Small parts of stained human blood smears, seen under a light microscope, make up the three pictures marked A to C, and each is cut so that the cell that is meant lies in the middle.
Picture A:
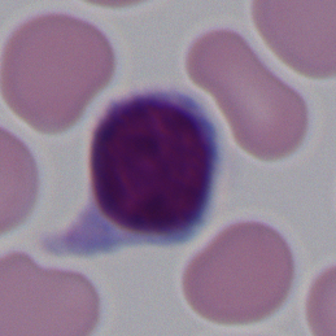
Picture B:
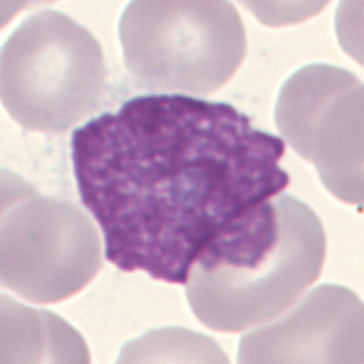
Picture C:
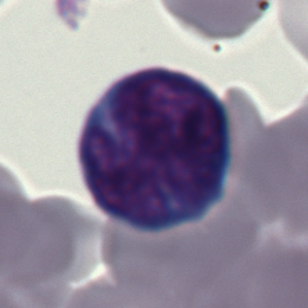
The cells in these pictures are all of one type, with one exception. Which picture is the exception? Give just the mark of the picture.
B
